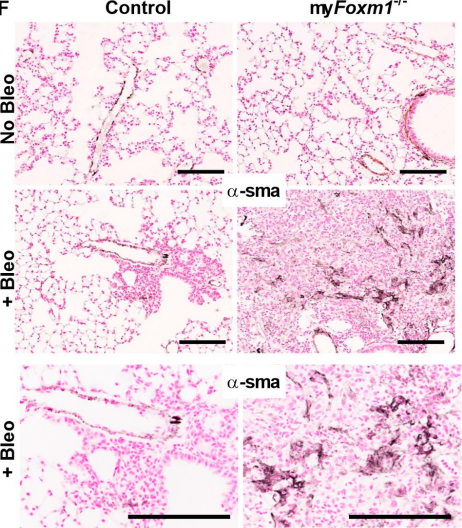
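These are sections of lung with thin alveolar walls in the upper rows, where the dark stain is confined to the smooth muscle layers around vessels and airways. In the lower rows the lung is thickened and consolidated, with the alveolar spaces narrowed or filled by densely packed cells with pink-stained nuclei. Within this thickened tissue, dark-stained elongated spindle-shaped cells lie singly and in irregular clusters, not tied to vessel walls. These spindle-shaped dark cells are myofibroblasts spread through the fibrotic parenchyma. One section of the lower rows keeps more open alveoli, and there the dark stain stays largely around a vessel.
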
